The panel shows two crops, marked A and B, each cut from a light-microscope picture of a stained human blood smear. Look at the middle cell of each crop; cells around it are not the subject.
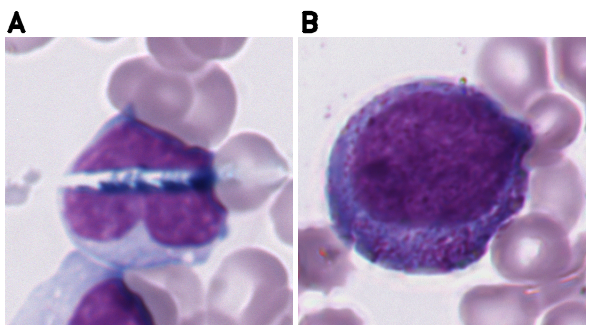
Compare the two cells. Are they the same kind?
no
